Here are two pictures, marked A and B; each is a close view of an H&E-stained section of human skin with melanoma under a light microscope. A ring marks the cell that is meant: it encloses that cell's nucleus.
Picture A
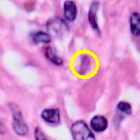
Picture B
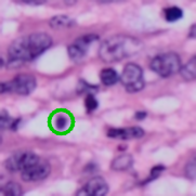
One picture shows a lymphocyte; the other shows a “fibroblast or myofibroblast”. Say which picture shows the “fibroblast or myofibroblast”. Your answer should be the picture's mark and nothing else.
A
